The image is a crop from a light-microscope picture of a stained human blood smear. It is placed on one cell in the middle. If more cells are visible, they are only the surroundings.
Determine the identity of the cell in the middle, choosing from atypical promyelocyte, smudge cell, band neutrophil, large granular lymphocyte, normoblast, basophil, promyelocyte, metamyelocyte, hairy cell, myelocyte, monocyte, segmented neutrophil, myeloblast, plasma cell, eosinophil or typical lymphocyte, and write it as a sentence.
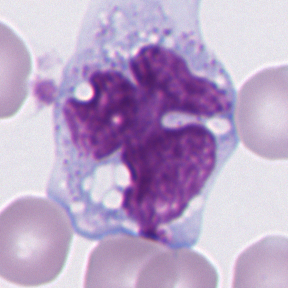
The cell shown in the center of this light-microscope crop is a monocyte.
